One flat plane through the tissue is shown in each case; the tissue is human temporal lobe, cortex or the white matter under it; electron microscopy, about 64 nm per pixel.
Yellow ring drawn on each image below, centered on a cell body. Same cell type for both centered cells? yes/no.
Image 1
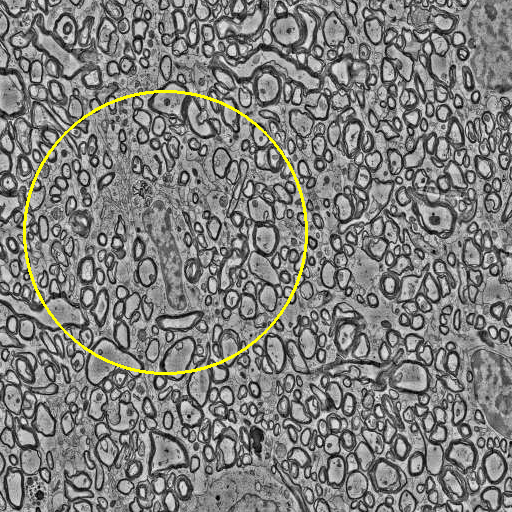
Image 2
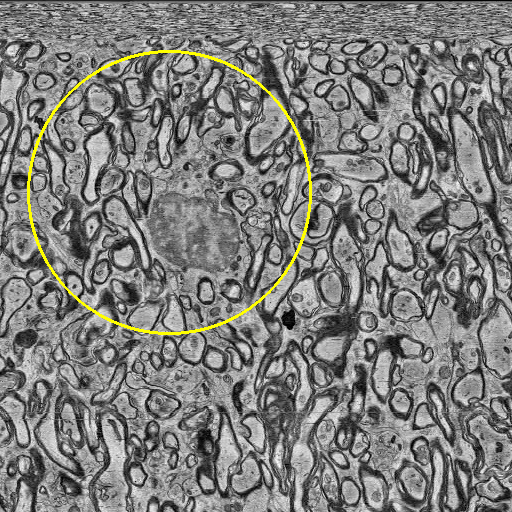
no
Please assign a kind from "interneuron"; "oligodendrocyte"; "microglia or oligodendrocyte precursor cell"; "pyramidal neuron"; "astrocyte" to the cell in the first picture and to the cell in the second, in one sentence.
In the first picture we have a microglial cell or oligodendrocyte precursor cell, and in the second, an oligodendrocyte.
